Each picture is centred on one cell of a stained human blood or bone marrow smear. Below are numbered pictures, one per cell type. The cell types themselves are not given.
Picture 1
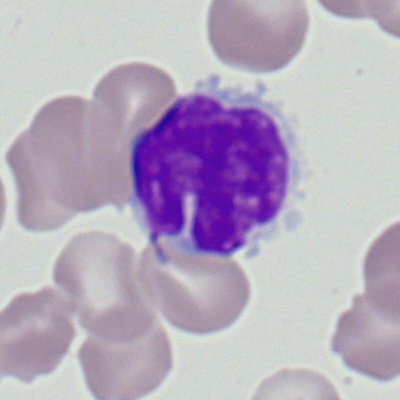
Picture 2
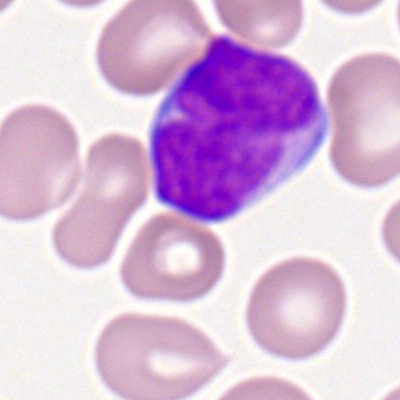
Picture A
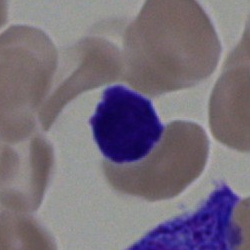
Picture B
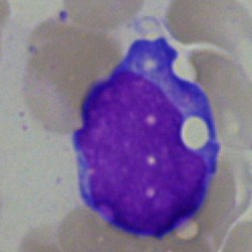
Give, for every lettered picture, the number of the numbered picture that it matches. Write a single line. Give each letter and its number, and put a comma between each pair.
A 1, B 2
